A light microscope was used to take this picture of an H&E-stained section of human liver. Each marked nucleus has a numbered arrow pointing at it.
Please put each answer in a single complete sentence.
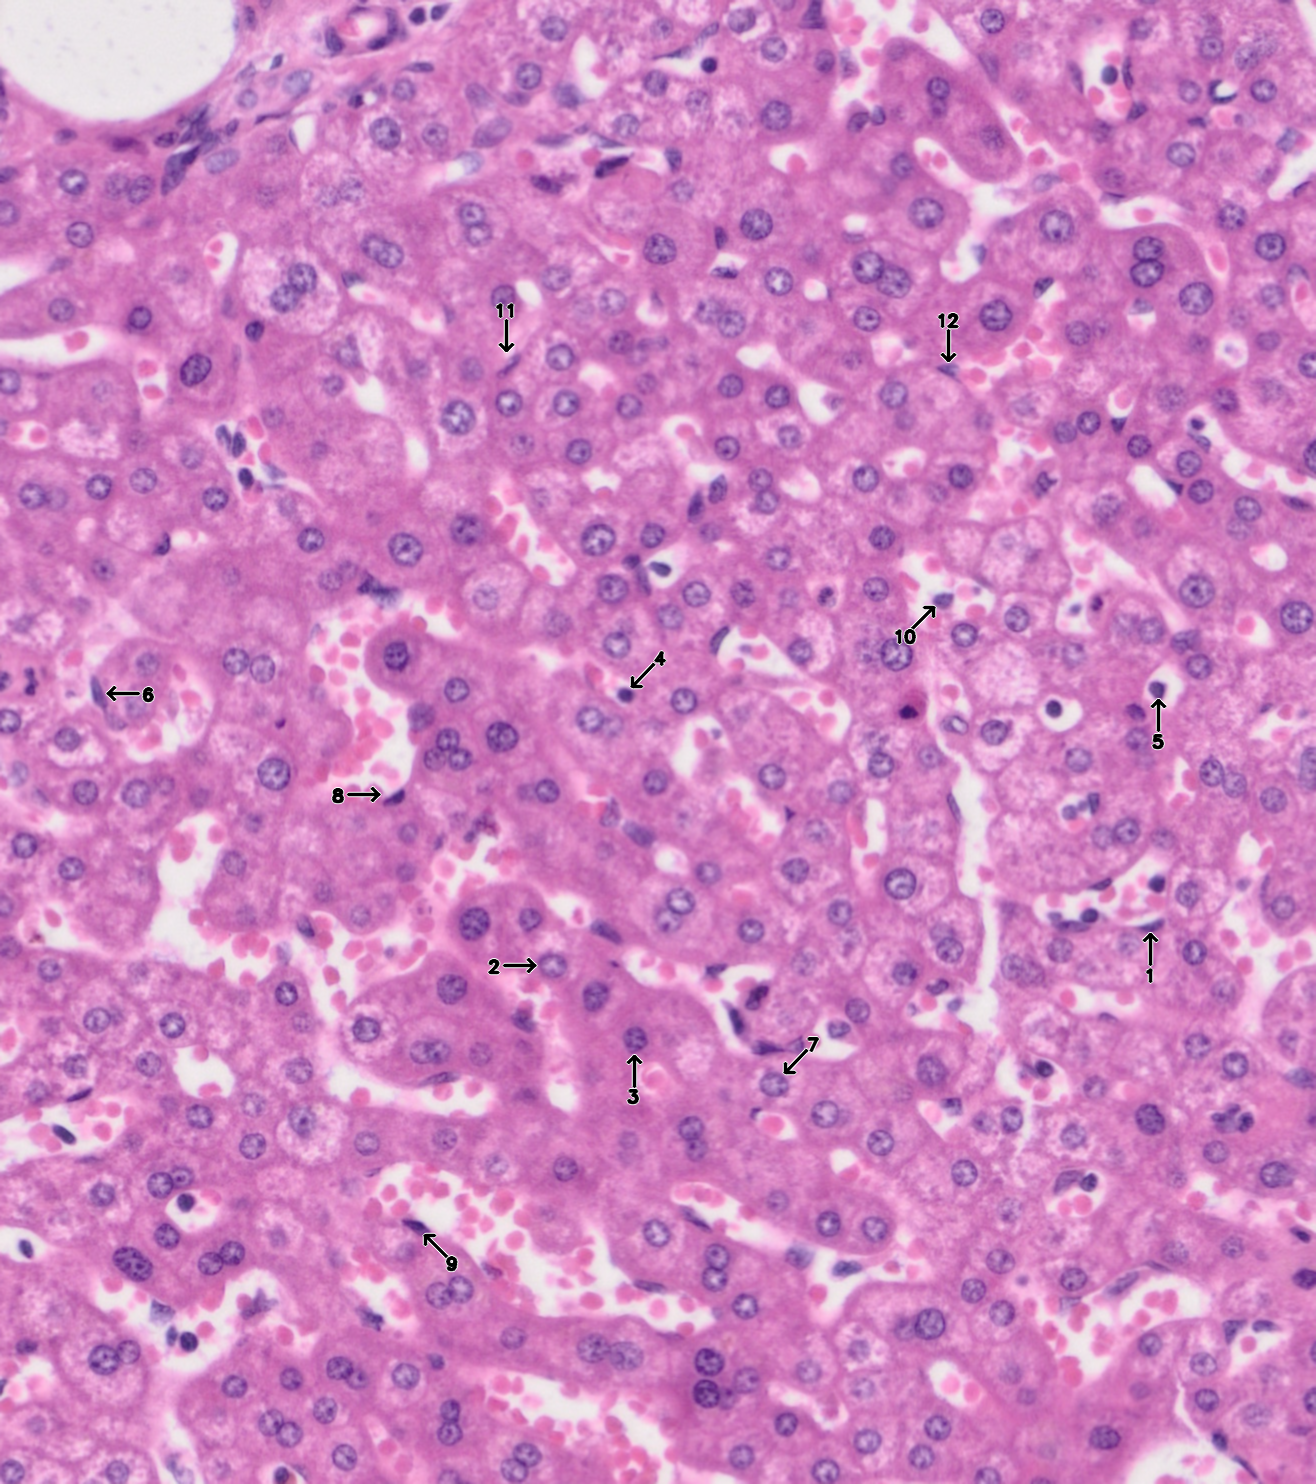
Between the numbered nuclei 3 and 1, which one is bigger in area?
Number 3 is larger; its area is about 2 times that of number 1.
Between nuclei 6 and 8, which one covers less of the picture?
The smaller nucleus is 8, and 6 covers roughly 1.5 times its area.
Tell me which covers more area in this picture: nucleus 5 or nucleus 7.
The larger nucleus is 7, at roughly 2 times the area of 5.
